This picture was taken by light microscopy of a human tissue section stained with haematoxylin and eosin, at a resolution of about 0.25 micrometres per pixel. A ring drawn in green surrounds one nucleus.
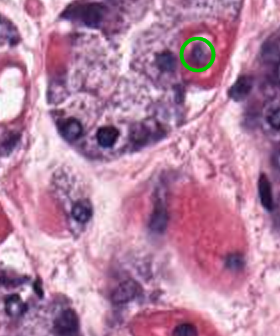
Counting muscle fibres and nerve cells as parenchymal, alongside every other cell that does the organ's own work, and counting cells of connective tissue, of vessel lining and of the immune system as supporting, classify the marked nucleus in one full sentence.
The marked nucleus is held by a parenchymal cell, namely a parietal cell.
